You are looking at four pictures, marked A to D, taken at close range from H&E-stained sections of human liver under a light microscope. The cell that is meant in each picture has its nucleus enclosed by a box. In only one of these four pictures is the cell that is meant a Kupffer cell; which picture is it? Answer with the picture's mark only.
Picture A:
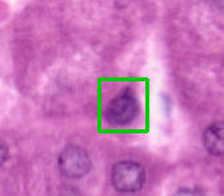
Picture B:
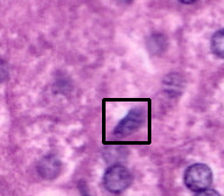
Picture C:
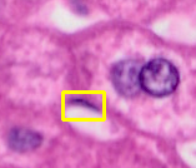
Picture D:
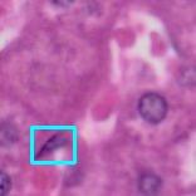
A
